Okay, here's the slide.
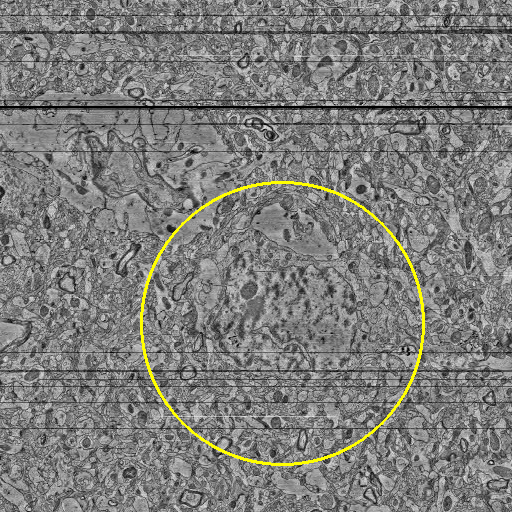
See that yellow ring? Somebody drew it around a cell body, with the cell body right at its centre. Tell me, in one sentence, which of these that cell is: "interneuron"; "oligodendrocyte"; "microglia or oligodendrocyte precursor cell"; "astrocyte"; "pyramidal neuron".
The cell in the middle of the ring is an interneuron.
